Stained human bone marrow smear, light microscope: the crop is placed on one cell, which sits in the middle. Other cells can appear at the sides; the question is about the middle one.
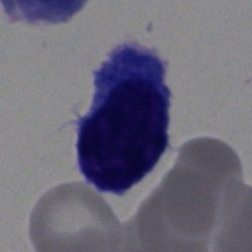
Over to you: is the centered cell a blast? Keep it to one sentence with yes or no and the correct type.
No, rather than being a blast, the central cell is a lymphocyte.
